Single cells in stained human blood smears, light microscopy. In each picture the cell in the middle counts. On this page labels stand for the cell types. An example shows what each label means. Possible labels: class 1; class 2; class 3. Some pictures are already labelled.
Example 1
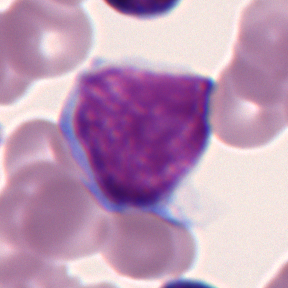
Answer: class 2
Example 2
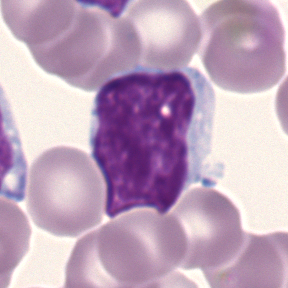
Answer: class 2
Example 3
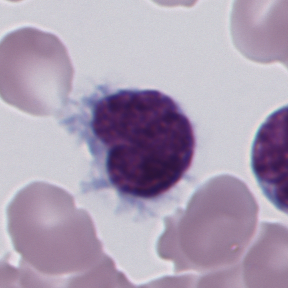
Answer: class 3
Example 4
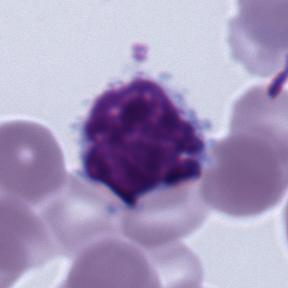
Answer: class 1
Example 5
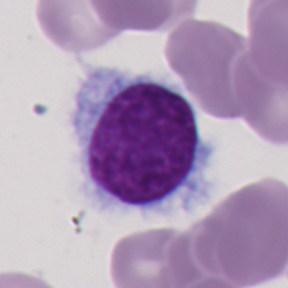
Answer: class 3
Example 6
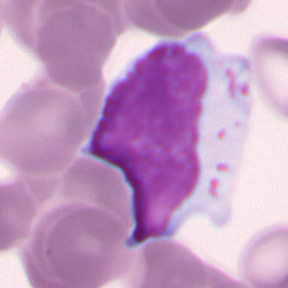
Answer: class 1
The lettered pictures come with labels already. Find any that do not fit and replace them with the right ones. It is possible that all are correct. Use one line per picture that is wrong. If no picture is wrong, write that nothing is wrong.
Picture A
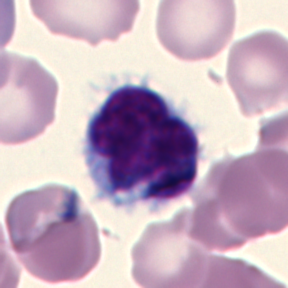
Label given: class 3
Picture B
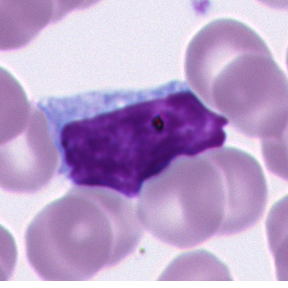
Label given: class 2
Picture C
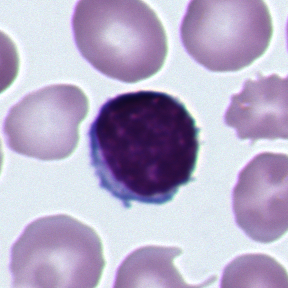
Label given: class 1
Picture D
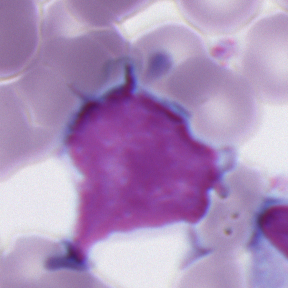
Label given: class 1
C: class 2, not class 1
D: class 2, not class 1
